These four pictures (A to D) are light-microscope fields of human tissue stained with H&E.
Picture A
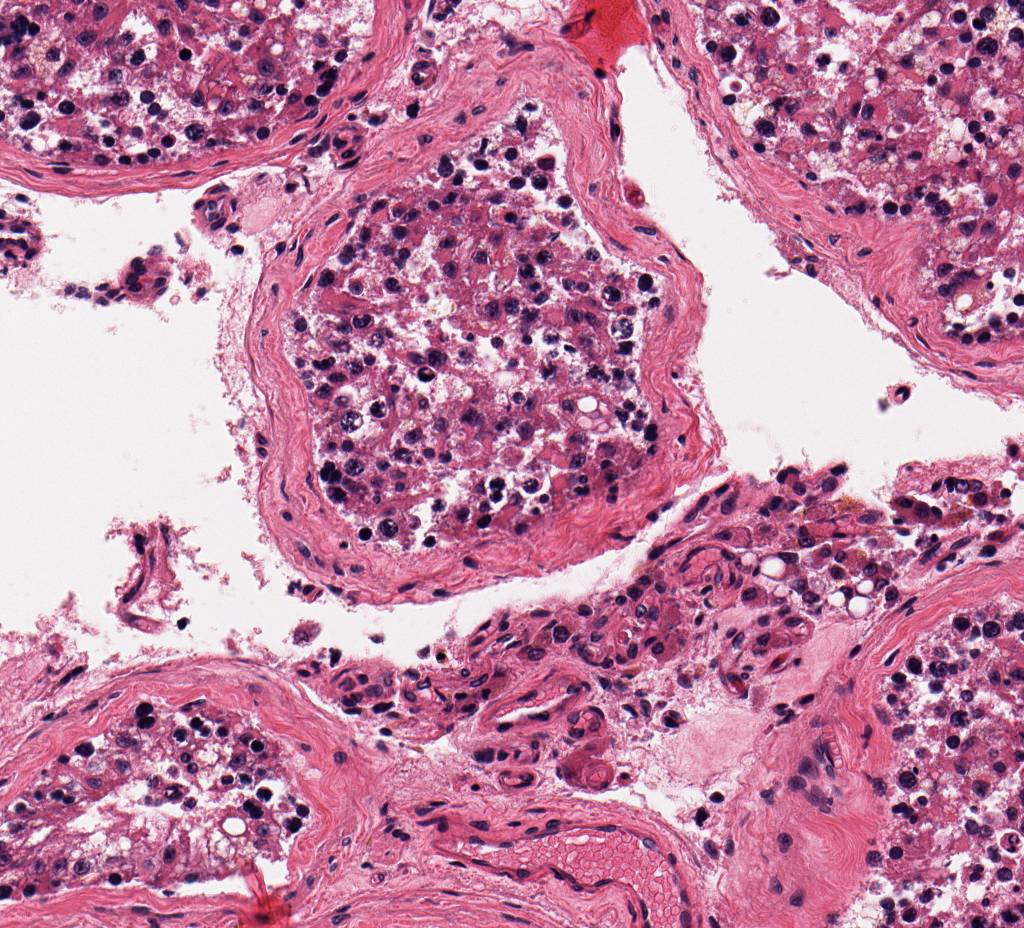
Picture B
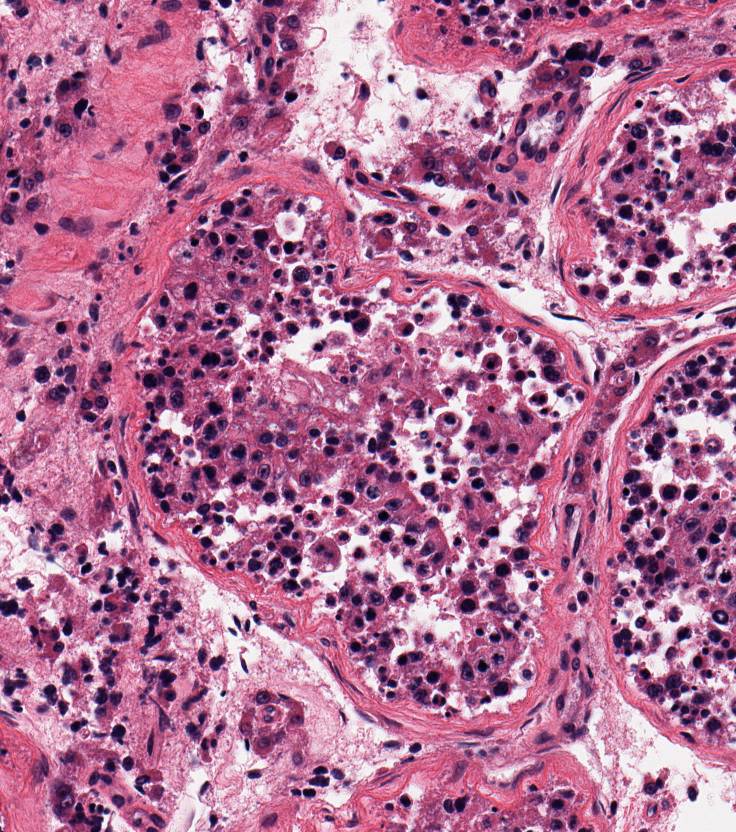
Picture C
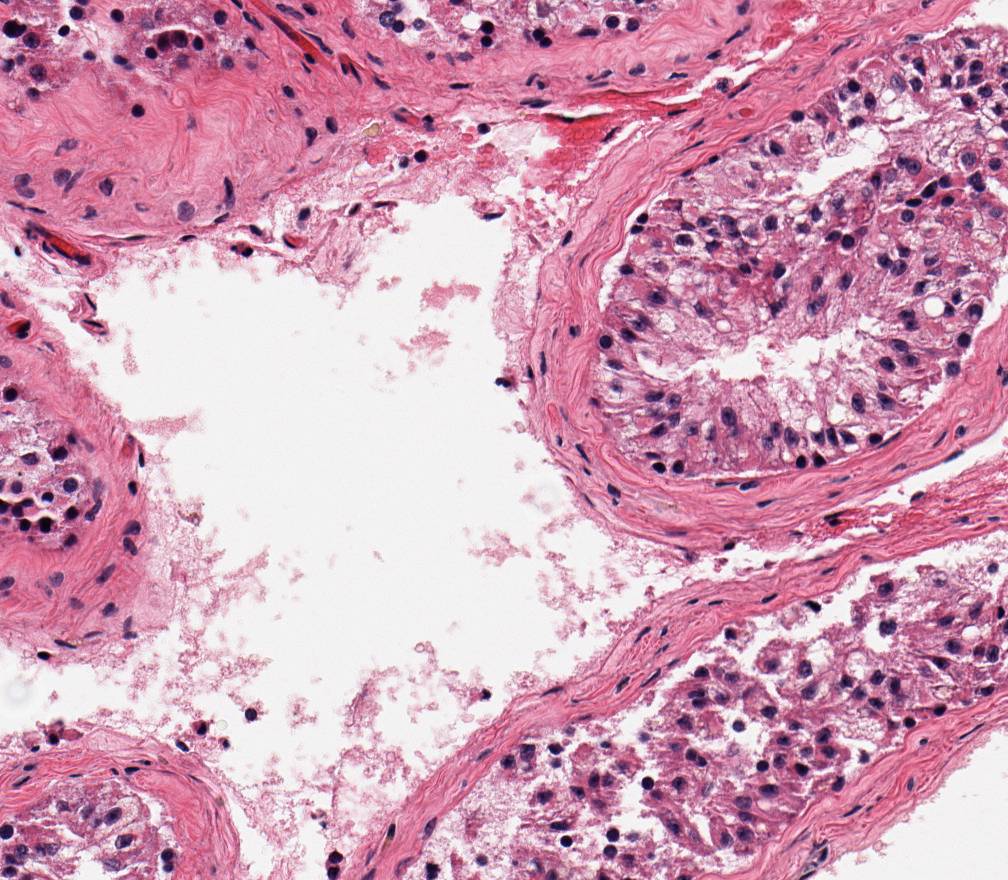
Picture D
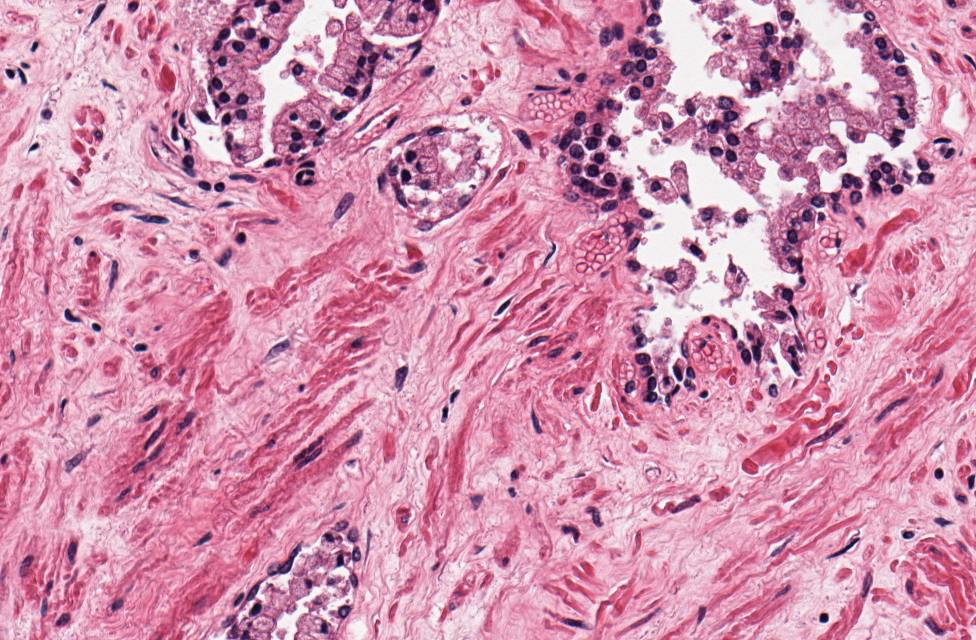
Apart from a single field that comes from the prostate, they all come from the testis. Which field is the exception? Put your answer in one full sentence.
It is picture D that comes from the prostate.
